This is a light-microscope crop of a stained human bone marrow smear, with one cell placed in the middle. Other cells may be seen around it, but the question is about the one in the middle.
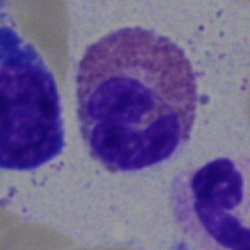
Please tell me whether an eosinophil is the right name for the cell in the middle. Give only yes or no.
yes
